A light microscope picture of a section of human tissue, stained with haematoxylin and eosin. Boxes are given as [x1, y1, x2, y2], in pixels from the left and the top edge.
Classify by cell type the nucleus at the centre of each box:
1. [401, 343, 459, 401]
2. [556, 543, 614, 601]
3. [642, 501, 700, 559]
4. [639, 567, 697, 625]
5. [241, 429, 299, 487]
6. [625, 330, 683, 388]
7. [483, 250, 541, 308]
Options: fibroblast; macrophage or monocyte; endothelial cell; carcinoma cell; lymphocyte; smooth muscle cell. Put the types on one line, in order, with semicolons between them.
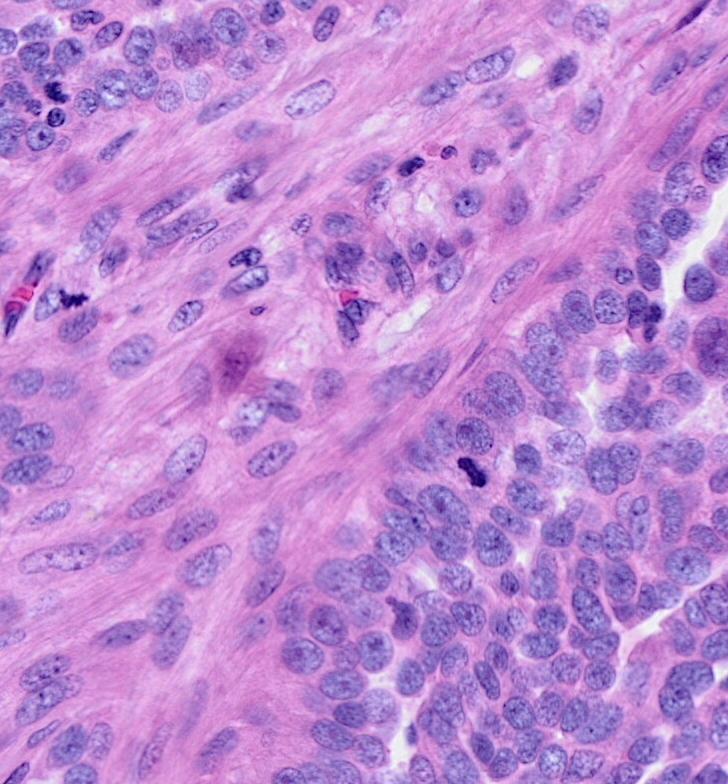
fibroblast; carcinoma cell; carcinoma cell; carcinoma cell; fibroblast; carcinoma cell; fibroblast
